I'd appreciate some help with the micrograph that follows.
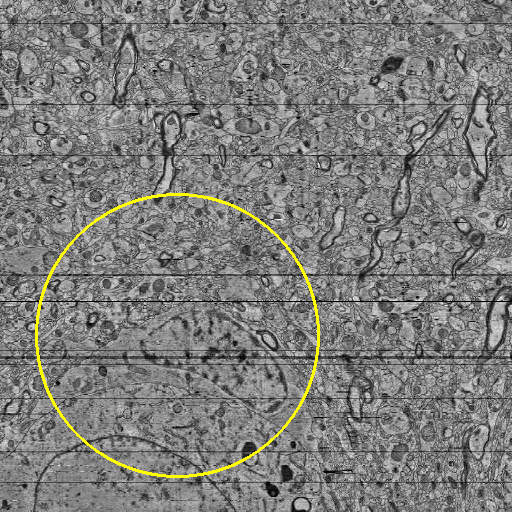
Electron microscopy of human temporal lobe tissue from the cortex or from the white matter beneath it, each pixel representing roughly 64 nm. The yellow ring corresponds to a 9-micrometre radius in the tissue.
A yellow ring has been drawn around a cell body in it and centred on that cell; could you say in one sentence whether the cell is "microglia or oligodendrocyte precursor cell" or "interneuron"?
It is a microglial cell or oligodendrocyte precursor cell at the centre of the ring.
